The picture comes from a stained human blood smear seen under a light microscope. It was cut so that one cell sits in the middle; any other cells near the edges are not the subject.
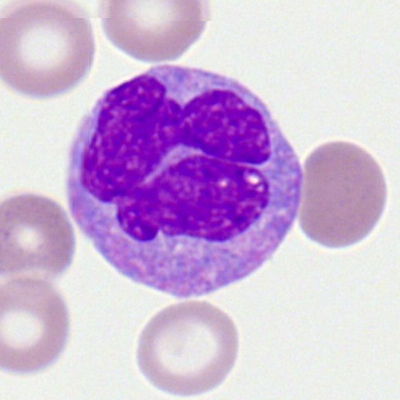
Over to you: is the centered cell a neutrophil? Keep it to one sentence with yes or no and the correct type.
No, the centre of the crop contains a monocyte rather than a neutrophil.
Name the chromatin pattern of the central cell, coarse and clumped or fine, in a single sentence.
The chromatin of this one is coarsely clumped.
